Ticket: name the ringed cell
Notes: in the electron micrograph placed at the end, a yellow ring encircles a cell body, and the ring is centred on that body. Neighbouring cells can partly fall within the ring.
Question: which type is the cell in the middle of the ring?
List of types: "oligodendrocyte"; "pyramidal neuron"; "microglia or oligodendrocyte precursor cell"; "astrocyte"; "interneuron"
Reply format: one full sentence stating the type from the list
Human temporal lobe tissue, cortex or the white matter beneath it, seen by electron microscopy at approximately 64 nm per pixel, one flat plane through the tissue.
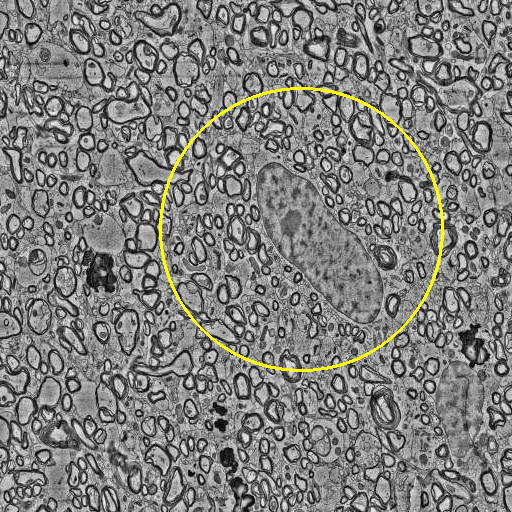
The cell sitting at the centre of the yellow ring is a microglial cell or oligodendrocyte precursor cell.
